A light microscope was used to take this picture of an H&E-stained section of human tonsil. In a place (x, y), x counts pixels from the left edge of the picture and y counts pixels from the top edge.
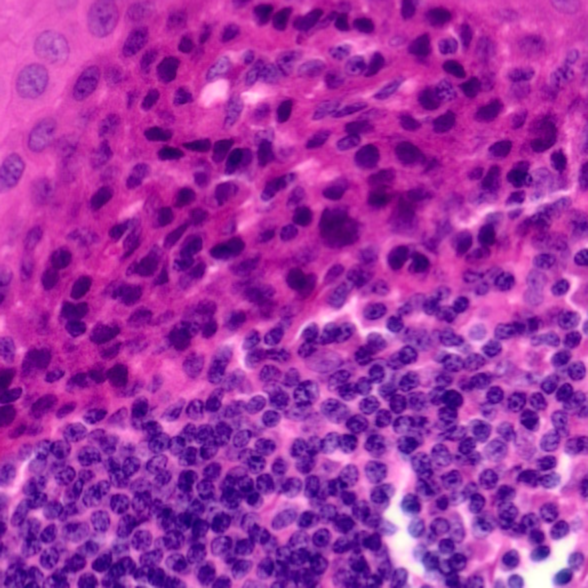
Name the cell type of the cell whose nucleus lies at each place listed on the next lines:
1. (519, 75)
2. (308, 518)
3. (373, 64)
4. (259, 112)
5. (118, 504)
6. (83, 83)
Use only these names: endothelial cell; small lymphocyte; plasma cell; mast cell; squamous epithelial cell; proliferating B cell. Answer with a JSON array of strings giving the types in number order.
["squamous epithelial cell", "small lymphocyte", "squamous epithelial cell", "squamous epithelial cell", "small lymphocyte", "squamous epithelial cell"]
